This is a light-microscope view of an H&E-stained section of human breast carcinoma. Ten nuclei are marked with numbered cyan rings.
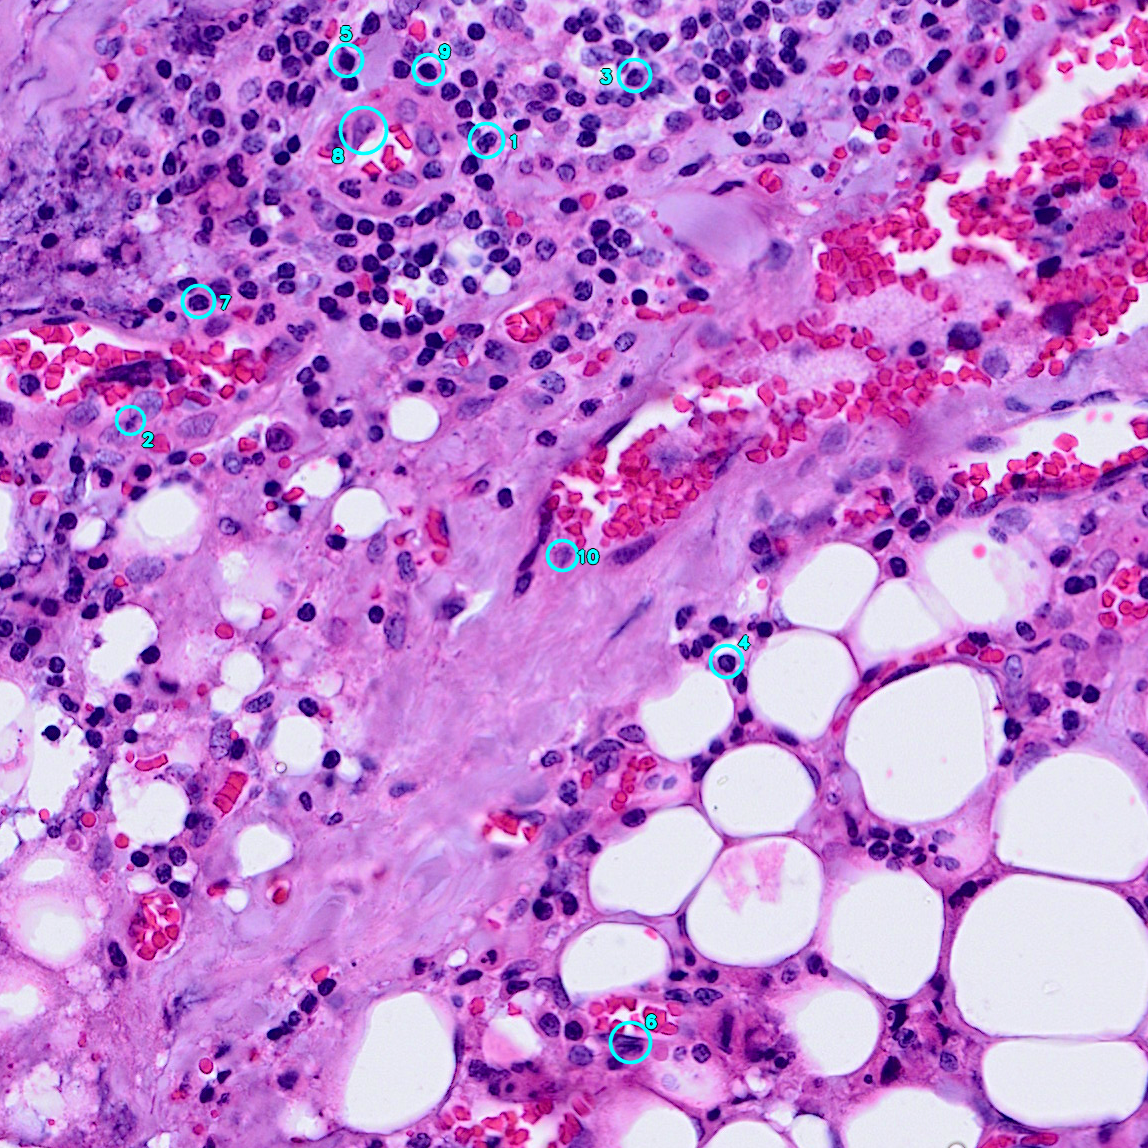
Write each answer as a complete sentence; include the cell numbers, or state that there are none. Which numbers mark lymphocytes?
The cells referred to by numbers 1, 3, 4, 5, 7 and 9 are lymphocytes.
